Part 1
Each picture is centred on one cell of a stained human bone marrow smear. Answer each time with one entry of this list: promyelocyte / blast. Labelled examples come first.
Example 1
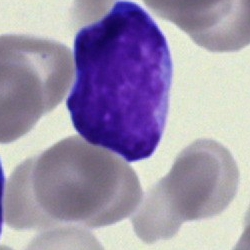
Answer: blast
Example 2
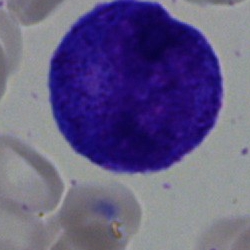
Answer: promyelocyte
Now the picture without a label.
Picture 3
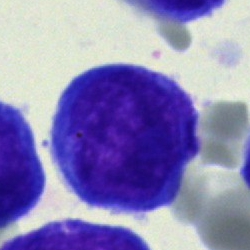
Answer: blast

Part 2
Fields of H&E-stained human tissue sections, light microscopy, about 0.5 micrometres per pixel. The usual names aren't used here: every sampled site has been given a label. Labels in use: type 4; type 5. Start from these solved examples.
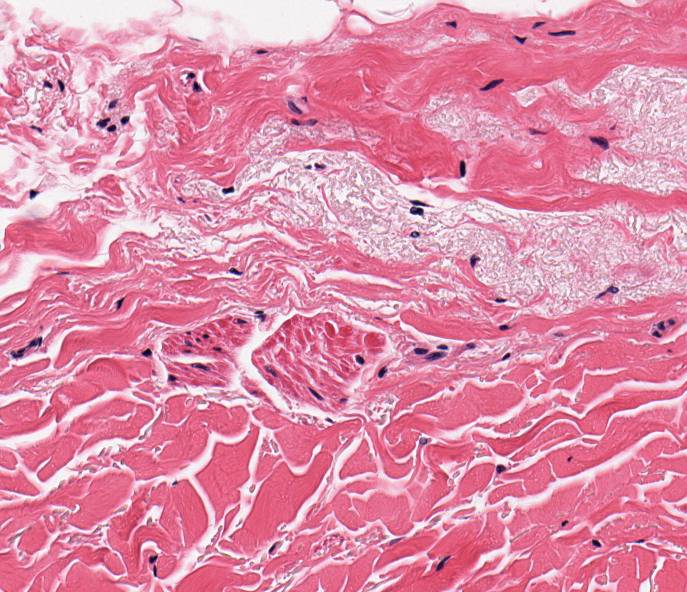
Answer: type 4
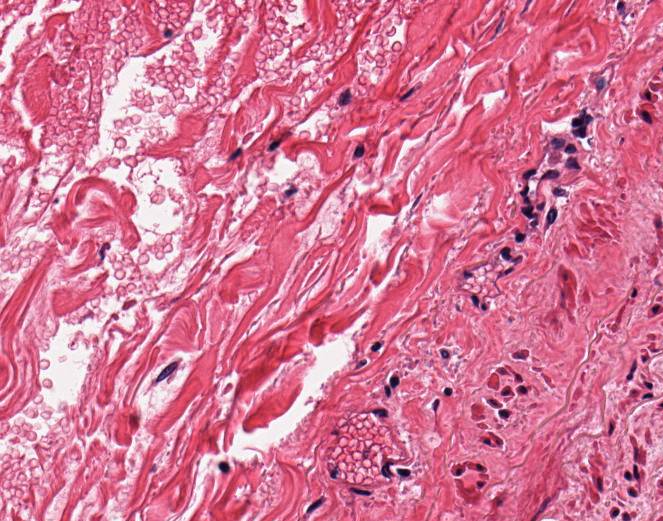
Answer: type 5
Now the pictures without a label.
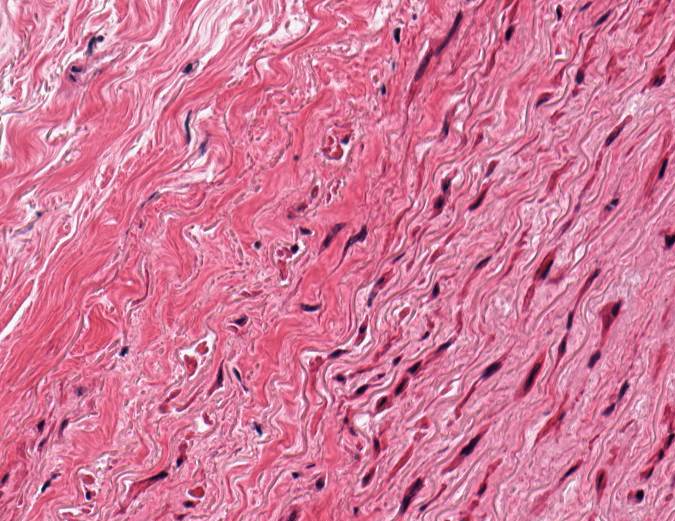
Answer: type 5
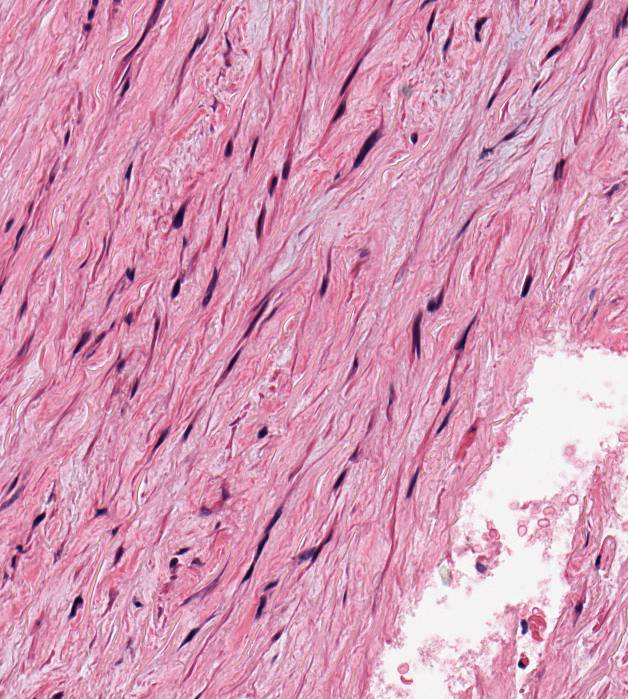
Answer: type 5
